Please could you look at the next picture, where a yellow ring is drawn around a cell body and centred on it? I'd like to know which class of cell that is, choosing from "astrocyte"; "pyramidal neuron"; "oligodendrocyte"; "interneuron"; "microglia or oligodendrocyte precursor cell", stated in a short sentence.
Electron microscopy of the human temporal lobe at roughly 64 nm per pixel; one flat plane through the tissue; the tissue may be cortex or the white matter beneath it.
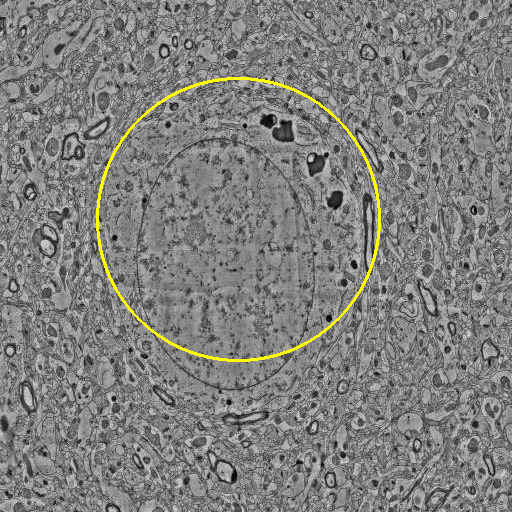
The ring's centre lies on a pyramidal neuron.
